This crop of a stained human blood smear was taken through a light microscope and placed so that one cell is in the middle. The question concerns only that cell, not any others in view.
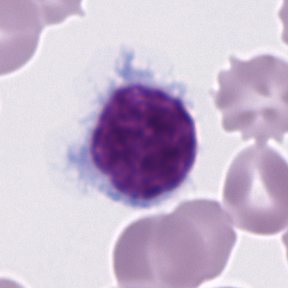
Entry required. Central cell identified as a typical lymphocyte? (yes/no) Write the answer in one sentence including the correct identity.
No, at the middle of the crop is a hairy cell, not a typical lymphocyte.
